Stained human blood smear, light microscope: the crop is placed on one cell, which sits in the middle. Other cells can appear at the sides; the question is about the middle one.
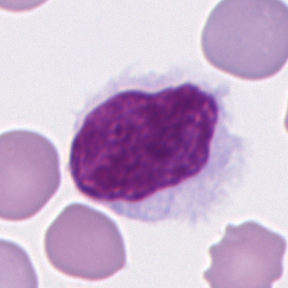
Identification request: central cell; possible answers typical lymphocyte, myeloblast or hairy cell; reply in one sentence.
The cell marked by its central position in the crop is a hairy cell.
